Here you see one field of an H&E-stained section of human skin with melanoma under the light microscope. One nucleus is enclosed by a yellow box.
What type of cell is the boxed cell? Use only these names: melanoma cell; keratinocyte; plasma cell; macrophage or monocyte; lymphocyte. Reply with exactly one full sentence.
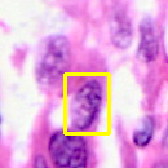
Just put down that the boxed cell is a melanoma cell.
